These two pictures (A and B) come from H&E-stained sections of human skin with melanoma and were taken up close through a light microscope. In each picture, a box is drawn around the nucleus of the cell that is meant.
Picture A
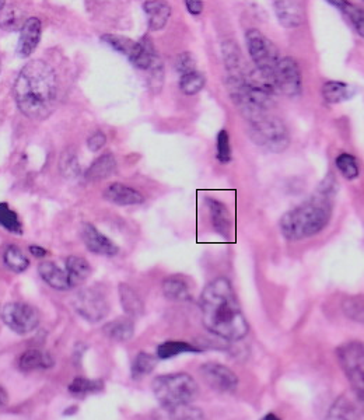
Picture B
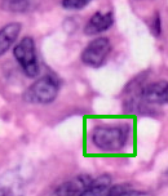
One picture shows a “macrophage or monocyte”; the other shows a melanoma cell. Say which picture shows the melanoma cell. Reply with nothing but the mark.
B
